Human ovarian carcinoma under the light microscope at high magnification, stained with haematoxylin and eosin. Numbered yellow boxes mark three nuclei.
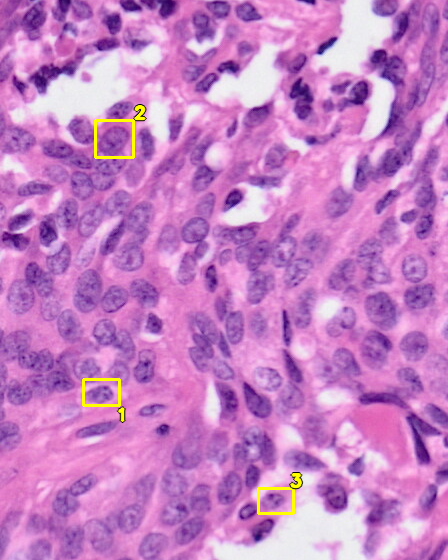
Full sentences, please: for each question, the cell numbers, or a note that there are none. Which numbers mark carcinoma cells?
Cell 2 is the one numbered cell that is a carcinoma cell.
